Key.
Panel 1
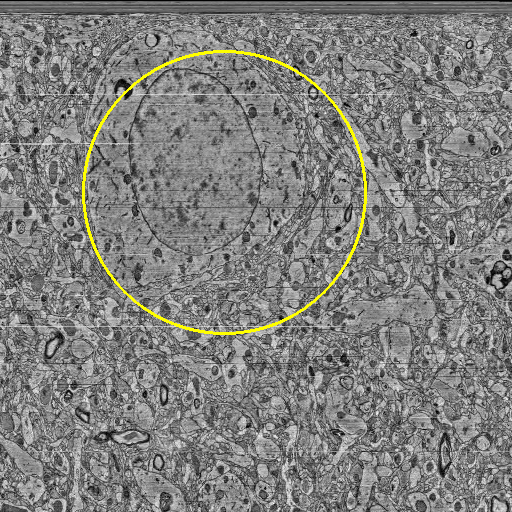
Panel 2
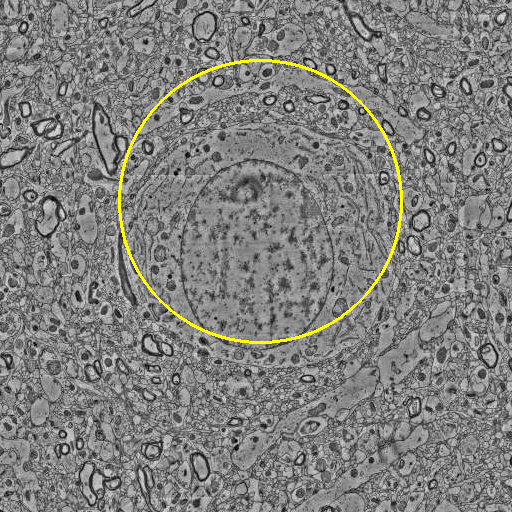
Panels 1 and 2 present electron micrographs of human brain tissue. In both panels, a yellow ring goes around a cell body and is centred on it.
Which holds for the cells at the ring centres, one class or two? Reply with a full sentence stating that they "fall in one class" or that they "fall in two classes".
Taken together, the ring-centre cells of the two panels fall in two classes.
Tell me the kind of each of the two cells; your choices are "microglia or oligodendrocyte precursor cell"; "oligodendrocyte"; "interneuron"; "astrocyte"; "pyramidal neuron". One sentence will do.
The ringed cell is a pyramidal neuron in the first picture and an interneuron in the second picture.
